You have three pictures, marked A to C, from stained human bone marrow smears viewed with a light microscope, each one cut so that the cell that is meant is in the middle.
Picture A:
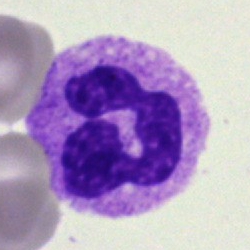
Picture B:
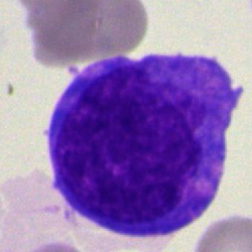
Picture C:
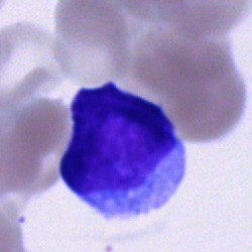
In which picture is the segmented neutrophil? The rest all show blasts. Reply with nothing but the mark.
A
